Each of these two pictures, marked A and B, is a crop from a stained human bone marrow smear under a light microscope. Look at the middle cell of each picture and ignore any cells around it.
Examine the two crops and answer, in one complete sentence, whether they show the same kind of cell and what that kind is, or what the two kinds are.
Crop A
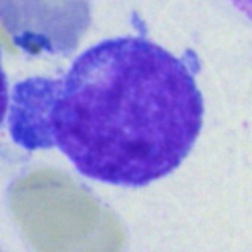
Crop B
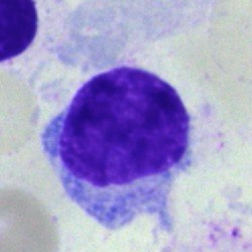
No, crop A shows a blast and crop B a hairy cell.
